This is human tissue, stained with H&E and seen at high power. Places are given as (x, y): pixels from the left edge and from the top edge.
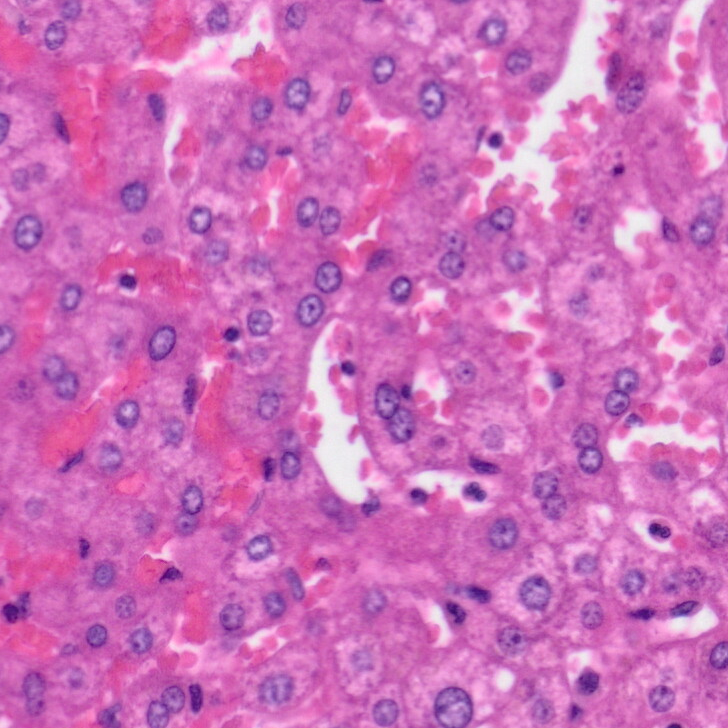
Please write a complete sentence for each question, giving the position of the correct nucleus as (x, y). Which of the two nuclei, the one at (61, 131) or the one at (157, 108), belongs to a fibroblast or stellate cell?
Of the two nuclei, the nucleus of a fibroblast or stellate cell is at (157, 108).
